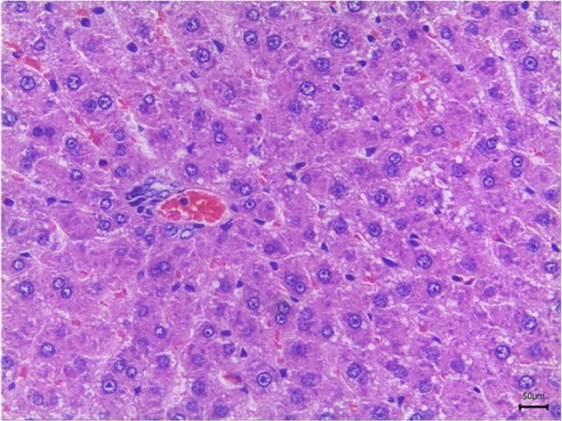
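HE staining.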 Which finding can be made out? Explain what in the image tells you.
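Small clear round vacuoles in the cytoplasm of some cells, mainly toward the right. The vacuoles are scattered, not present in every cell.
Hence: scattered fat droplets.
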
